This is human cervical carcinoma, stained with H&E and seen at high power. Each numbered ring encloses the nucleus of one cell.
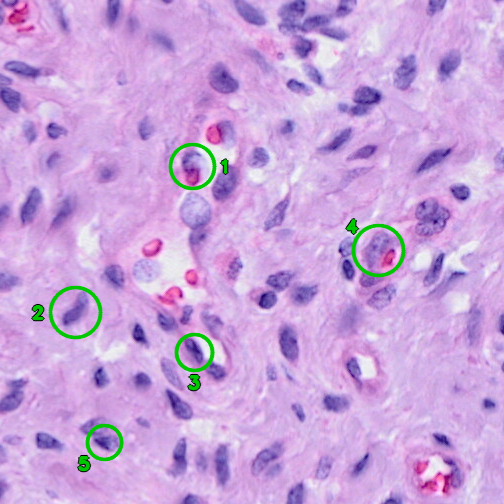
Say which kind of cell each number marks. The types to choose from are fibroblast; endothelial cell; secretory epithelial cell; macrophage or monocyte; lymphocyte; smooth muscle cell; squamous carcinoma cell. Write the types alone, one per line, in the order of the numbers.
endothelial cell
fibroblast
endothelial cell
endothelial cell
fibroblast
